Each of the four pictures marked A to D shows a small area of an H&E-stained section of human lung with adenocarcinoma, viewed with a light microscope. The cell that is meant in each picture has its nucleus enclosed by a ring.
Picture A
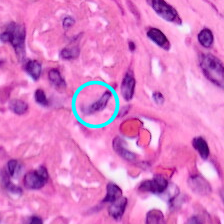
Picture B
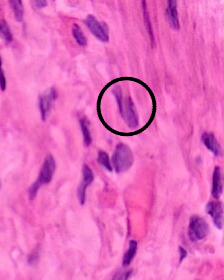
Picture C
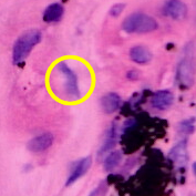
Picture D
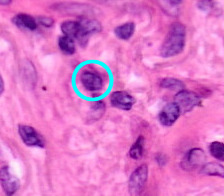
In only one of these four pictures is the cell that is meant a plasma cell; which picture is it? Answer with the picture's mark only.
D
